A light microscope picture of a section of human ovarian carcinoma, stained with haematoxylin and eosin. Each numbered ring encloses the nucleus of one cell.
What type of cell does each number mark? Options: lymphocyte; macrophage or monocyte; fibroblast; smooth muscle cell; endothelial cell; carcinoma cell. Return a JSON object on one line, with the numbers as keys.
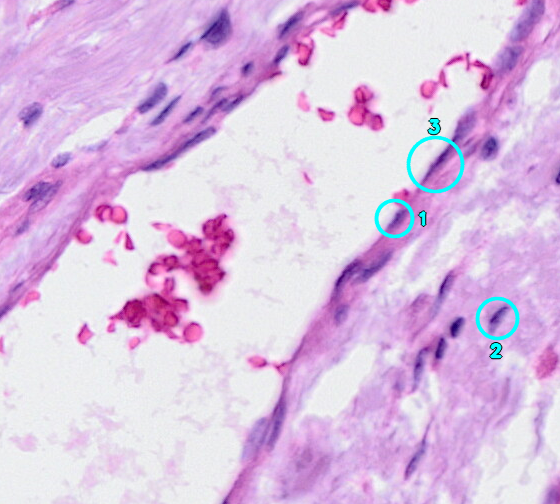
{"1": "endothelial cell", "2": "fibroblast", "3": "endothelial cell"}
